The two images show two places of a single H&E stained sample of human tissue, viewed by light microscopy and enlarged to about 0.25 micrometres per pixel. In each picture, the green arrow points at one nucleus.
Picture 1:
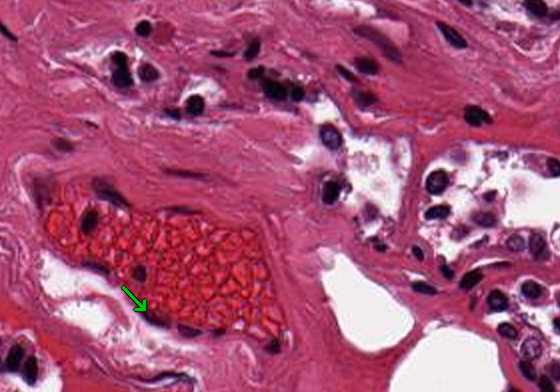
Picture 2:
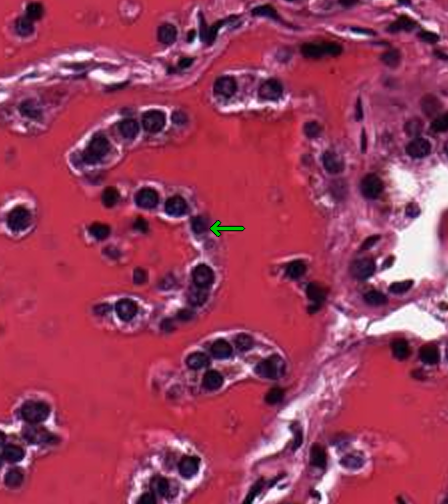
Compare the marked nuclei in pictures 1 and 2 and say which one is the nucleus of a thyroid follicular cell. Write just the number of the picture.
2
